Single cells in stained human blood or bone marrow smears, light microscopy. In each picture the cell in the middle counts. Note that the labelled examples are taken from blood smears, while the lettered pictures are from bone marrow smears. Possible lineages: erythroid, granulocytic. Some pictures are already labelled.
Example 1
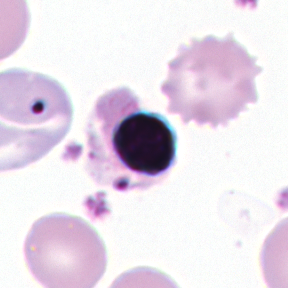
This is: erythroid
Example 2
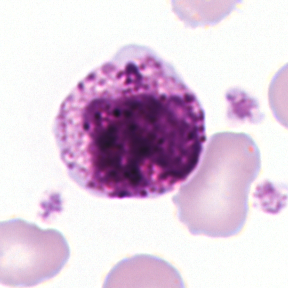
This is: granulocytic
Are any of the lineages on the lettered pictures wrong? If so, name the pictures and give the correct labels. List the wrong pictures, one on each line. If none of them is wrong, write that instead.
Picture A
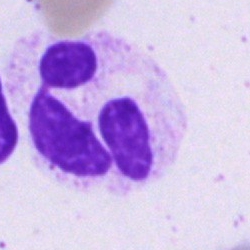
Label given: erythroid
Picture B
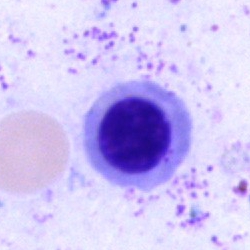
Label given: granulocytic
A should be granulocytic, not erythroid
B should be erythroid, not granulocytic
